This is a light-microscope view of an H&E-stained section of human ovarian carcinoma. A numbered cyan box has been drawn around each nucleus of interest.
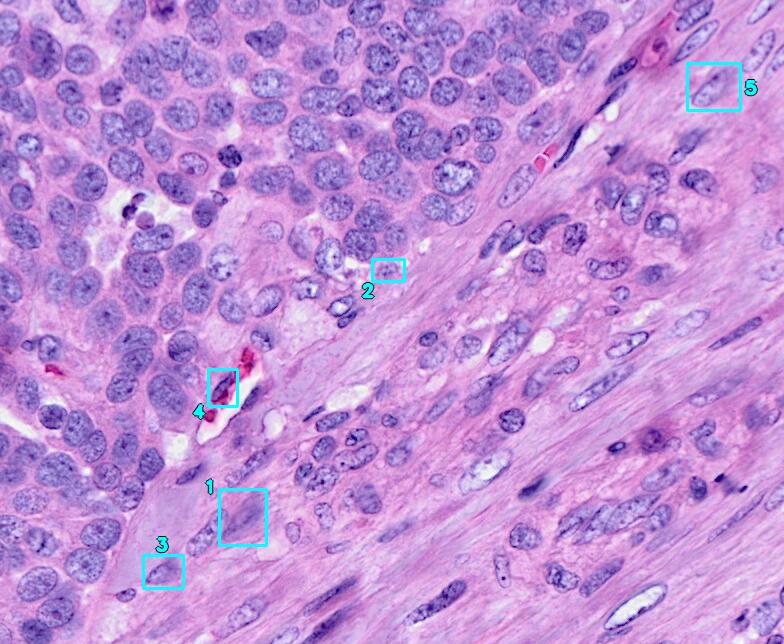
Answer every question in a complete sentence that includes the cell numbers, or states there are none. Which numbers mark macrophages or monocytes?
The nucleus numbered 2 is the only one that belongs to a macrophage or monocyte.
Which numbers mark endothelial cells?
Of all the numbered cells, only cell 4 is an endothelial cell.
